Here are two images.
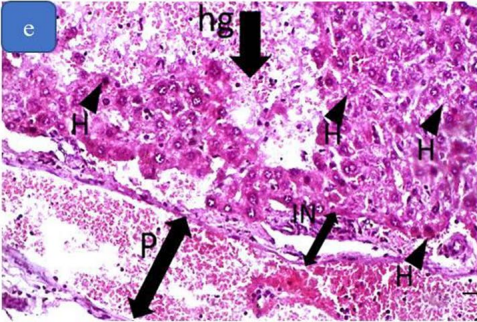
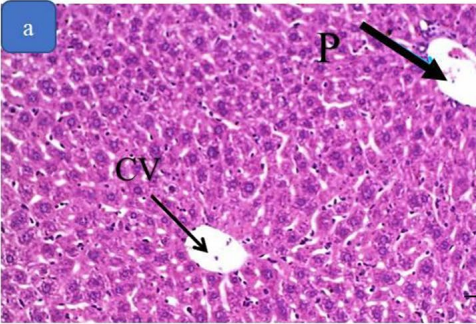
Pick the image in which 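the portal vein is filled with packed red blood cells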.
the first image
